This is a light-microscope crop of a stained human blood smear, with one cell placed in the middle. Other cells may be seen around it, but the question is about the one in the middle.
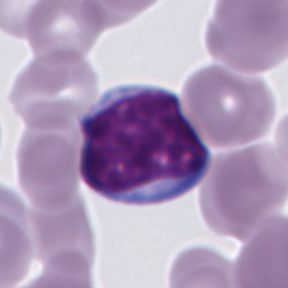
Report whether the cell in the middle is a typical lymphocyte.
yes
